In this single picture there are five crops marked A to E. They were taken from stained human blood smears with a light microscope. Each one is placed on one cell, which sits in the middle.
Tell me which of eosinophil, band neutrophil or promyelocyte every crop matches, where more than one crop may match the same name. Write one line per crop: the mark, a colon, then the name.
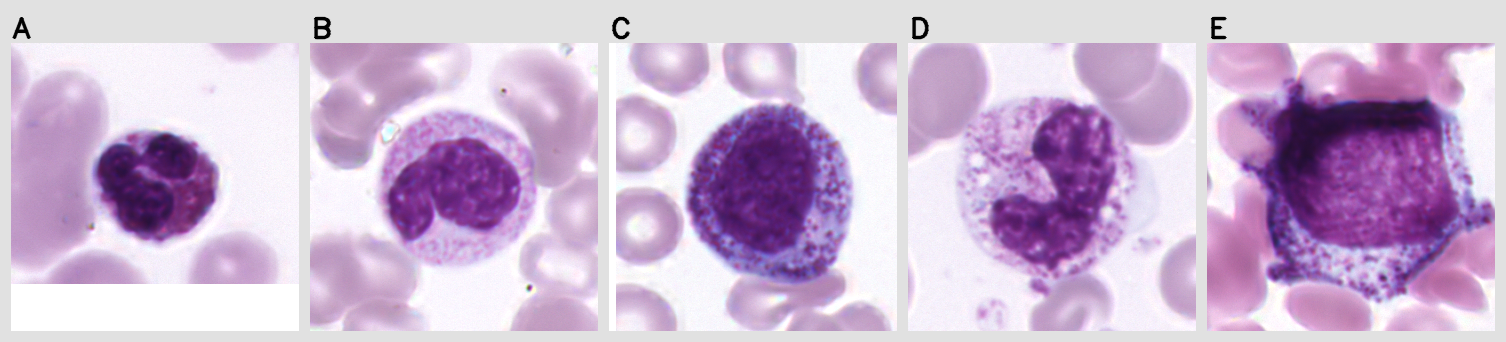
A: eosinophil
B: band neutrophil
C: promyelocyte
D: band neutrophil
E: promyelocyte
